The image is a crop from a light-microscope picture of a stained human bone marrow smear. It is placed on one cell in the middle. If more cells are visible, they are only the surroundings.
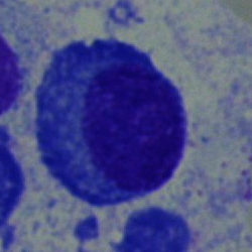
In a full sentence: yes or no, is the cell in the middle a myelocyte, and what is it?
No, the centered cell is a plasma cell and not a myelocyte at all.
